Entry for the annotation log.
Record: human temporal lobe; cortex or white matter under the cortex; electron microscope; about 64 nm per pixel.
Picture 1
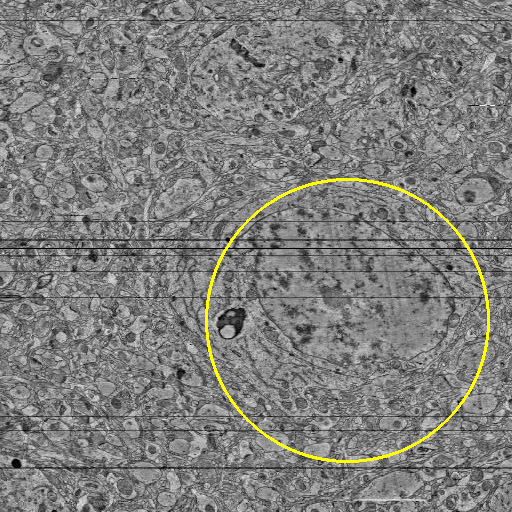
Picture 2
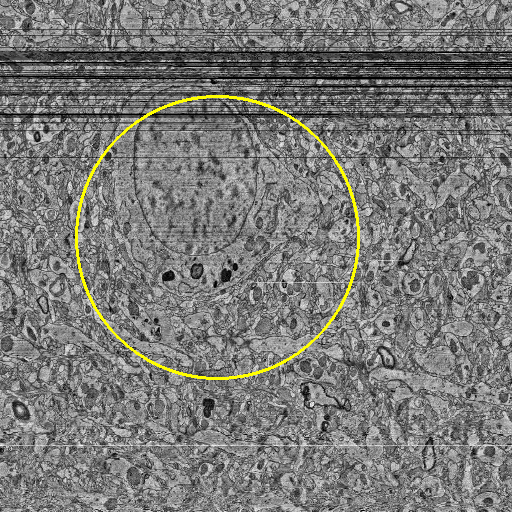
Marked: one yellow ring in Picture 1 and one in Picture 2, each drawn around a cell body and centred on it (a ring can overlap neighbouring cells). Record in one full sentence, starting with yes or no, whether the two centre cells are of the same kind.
Yes, both cells are of the same kind.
